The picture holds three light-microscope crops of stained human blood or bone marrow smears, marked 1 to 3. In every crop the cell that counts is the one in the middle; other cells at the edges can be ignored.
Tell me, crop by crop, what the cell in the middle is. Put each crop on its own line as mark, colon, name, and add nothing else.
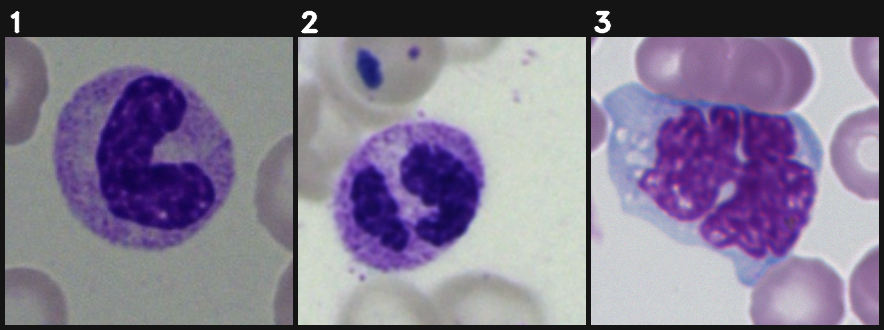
1: band neutrophil
2: segmented neutrophil
3: monocyte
